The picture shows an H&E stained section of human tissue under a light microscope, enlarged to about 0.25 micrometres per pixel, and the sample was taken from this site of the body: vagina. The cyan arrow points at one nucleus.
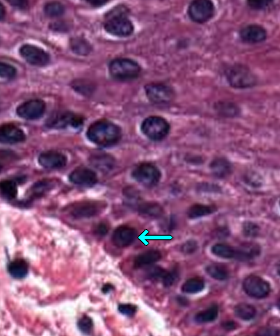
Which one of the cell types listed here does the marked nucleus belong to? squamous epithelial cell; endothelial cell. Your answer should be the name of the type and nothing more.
squamous epithelial cell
